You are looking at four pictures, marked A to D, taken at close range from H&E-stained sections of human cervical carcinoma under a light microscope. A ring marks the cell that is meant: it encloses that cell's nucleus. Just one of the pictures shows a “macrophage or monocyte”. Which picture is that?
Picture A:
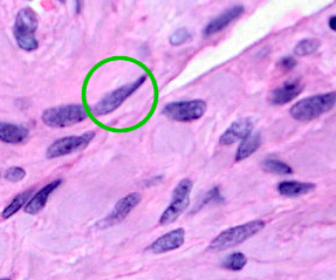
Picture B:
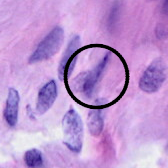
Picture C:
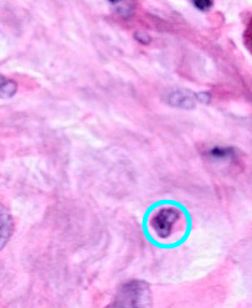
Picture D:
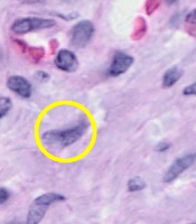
C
